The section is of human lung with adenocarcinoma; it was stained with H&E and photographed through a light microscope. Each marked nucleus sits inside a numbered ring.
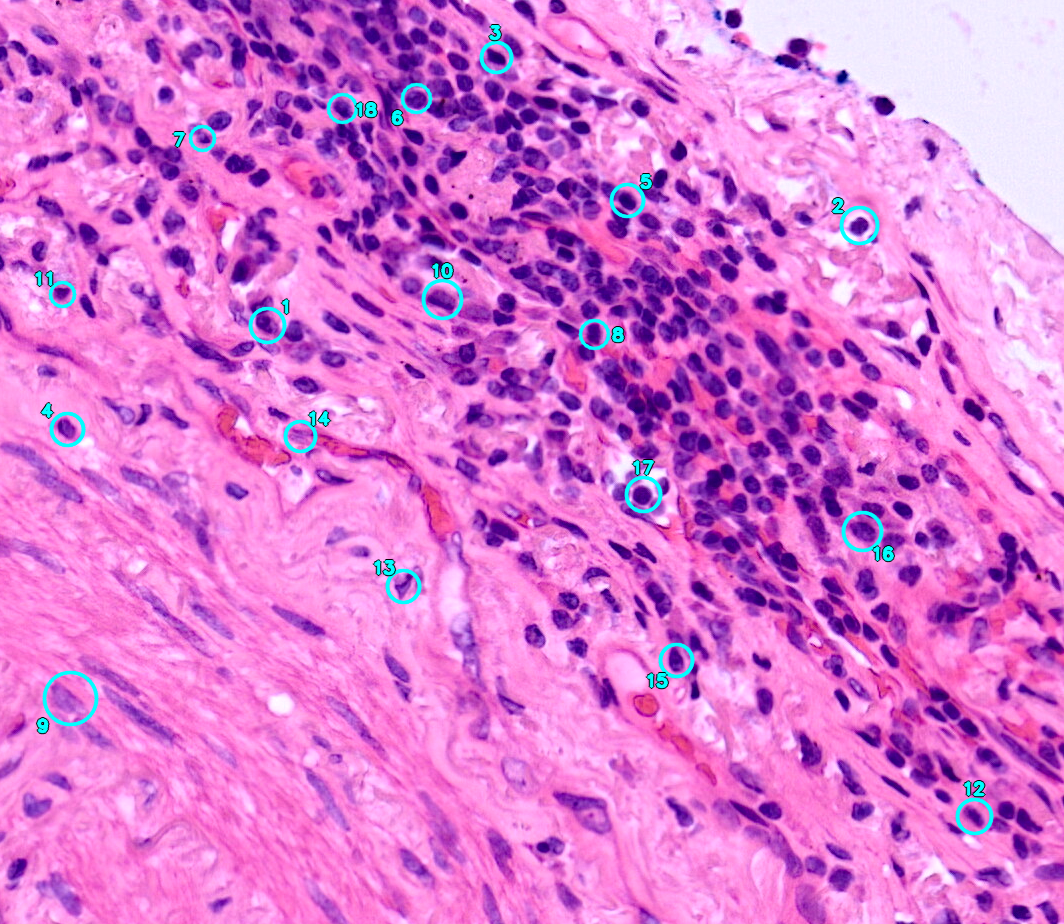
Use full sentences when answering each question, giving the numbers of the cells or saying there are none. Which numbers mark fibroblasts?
Cell 13 is the only one of the numbered cells that is a fibroblast.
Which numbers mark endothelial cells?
It is only cell 14 that is an endothelial cell among the numbered cells.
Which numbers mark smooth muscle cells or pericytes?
Only at number 9 is there a smooth muscle cell or pericyte among the marked cells.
